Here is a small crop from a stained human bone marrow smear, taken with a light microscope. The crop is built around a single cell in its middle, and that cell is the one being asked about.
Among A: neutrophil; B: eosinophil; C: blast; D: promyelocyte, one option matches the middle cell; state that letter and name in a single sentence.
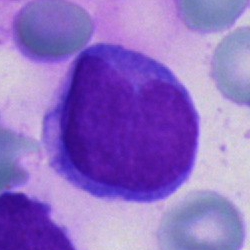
The cell centered in the crop is a blast, making option C the correct pick.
